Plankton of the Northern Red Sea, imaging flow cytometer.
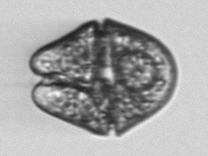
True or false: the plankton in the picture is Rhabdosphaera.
False; it is Akashiwo.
